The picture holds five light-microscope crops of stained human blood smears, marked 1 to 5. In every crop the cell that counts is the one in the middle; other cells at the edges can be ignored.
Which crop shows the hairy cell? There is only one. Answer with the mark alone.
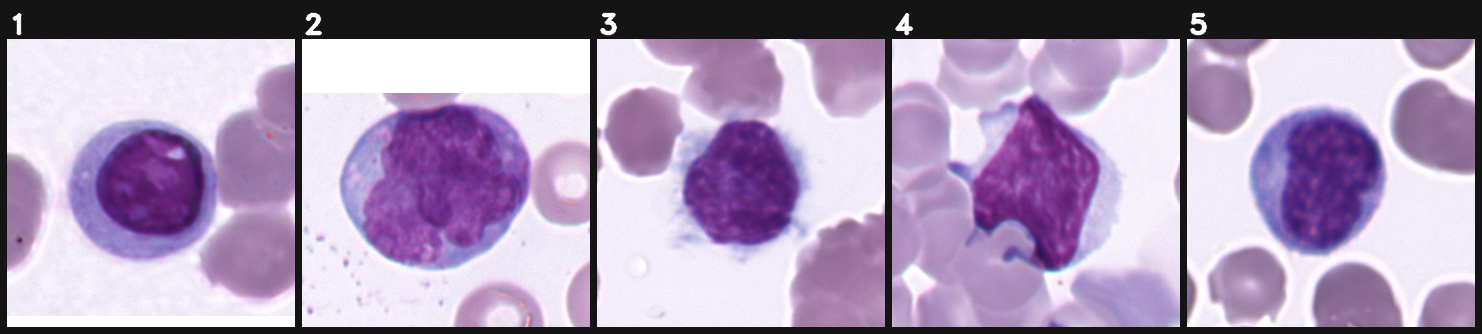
3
